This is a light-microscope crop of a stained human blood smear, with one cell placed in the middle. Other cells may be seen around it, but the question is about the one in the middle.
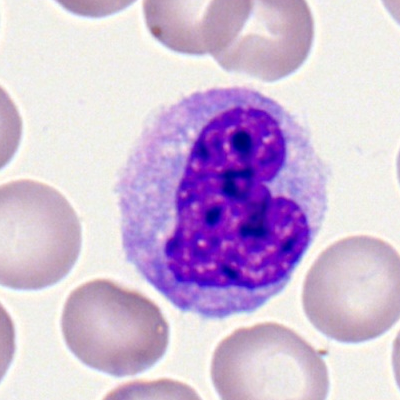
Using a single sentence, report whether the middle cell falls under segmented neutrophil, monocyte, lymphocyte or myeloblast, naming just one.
The middle of this crop is occupied by a monocyte.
